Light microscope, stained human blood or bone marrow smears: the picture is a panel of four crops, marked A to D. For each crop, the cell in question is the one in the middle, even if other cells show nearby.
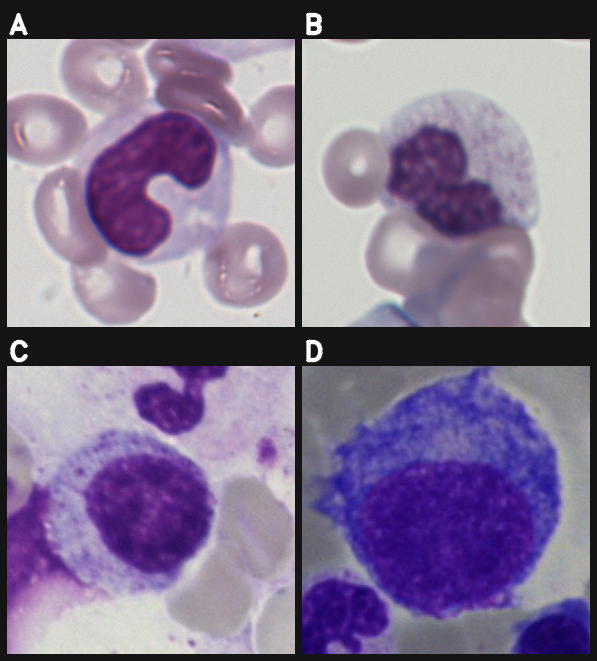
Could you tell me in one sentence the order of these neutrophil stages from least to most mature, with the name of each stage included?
Counting from the least mature up to the most mature, the order is crop D (a promyelocyte), crop C (a myelocyte), crop A (a band neutrophil) and crop B (a segmented neutrophil).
